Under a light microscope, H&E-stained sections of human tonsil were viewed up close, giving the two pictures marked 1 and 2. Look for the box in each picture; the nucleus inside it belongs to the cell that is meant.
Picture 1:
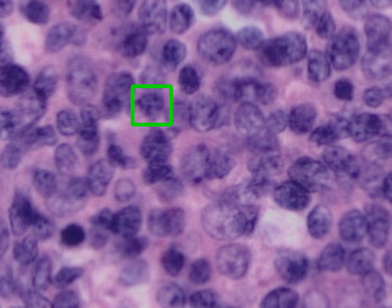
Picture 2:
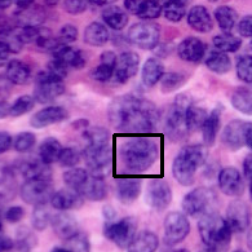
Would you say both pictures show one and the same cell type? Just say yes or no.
yes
